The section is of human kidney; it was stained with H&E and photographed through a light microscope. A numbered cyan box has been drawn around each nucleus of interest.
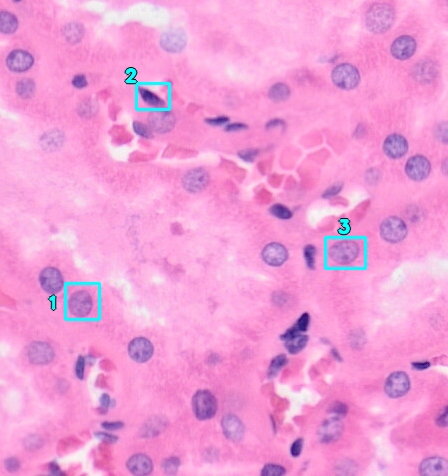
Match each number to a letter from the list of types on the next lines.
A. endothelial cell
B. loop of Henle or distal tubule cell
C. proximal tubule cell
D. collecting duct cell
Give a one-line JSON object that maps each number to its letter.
{"1": "C", "2": "A", "3": "C"}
